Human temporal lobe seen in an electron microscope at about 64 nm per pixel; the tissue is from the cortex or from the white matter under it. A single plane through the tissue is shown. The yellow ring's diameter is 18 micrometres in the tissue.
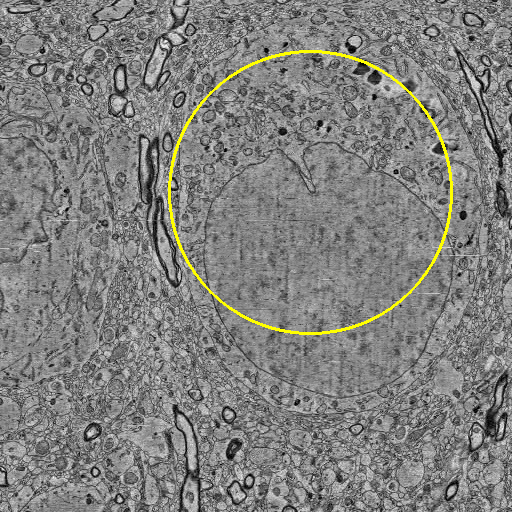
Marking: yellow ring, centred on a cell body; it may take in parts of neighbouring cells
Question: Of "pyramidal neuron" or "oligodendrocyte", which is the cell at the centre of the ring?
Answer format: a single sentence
The ring surrounds the body of a pyramidal neuron.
